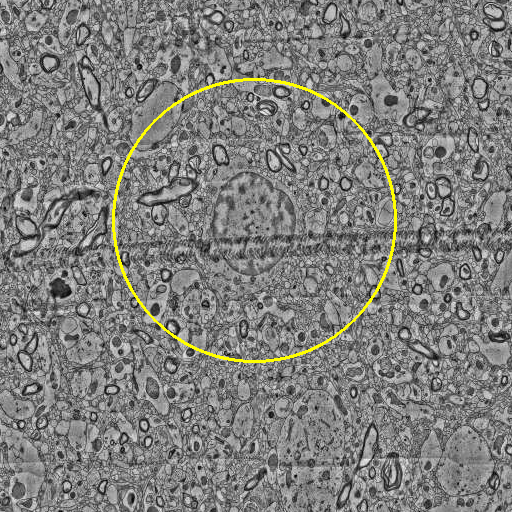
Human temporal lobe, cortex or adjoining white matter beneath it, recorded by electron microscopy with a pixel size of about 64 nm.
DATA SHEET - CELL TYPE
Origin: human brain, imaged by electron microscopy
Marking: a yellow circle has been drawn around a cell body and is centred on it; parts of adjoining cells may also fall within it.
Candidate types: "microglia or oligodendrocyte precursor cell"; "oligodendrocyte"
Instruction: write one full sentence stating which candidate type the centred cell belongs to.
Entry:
The cell body at the centre of the yellow ring in this micrograph belongs to an oligodendrocyte.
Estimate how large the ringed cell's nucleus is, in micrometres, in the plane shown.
Approximately 6 x 5 micrometres in this plane.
